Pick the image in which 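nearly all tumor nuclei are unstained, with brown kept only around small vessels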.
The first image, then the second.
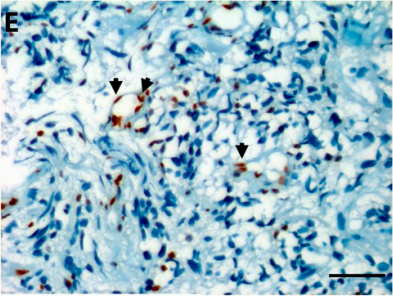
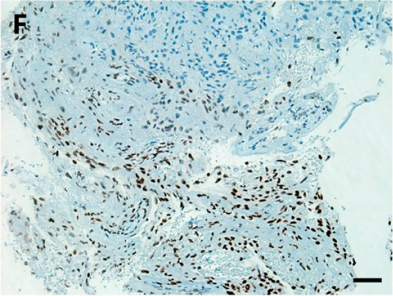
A: the first image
